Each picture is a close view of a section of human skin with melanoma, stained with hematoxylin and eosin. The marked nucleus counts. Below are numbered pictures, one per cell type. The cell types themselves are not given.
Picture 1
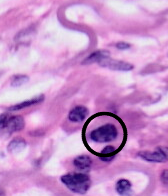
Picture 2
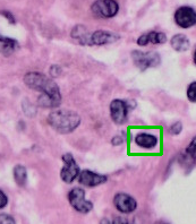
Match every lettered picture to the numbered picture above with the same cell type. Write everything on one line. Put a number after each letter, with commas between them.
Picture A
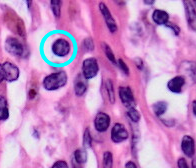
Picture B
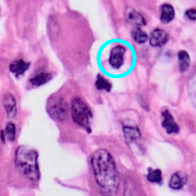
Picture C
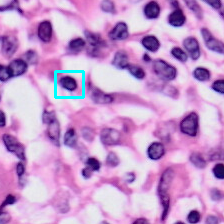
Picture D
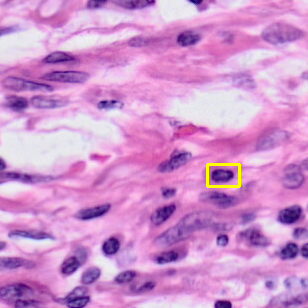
A 2, B 2, C 2, D 1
